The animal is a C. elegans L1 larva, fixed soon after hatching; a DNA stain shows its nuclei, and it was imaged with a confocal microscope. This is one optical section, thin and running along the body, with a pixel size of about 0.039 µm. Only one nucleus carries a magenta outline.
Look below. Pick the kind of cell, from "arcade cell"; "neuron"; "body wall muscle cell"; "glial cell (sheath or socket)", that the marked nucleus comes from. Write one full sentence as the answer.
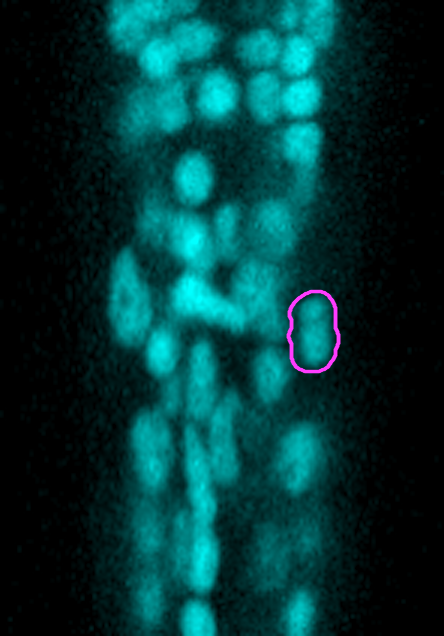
The cell with the marked nucleus is a body wall muscle cell.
